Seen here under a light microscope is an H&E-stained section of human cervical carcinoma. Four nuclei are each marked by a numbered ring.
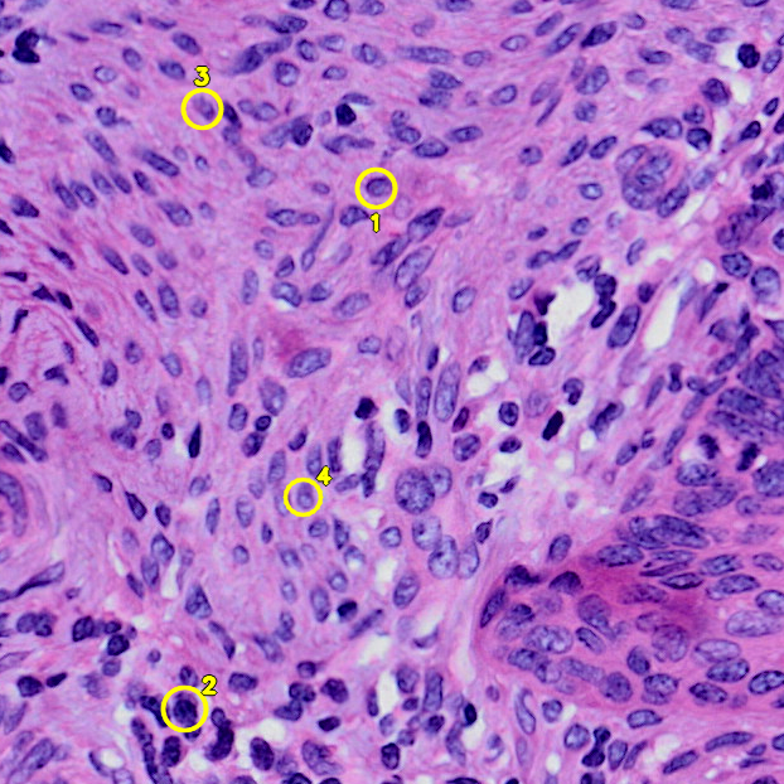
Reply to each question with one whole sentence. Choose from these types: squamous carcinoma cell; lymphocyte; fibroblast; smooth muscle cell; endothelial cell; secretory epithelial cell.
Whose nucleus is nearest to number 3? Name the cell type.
Number 3 lies closest to the nucleus of a smooth muscle cell.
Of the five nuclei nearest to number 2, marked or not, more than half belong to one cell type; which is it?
Most of the five nuclei nearest to number 2 are those of lymphocytes.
